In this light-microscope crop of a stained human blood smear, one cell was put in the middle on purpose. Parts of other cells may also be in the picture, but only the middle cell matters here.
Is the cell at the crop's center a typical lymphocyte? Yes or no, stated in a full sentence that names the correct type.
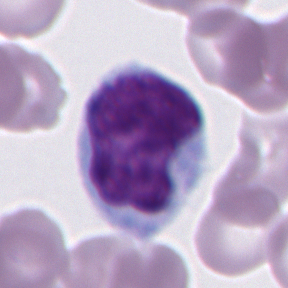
Yes, the central cell of this crop corresponds to a typical lymphocyte.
